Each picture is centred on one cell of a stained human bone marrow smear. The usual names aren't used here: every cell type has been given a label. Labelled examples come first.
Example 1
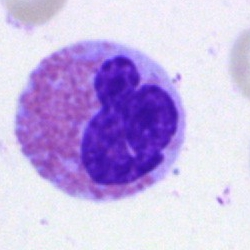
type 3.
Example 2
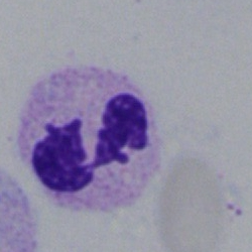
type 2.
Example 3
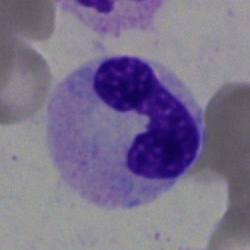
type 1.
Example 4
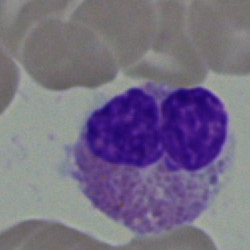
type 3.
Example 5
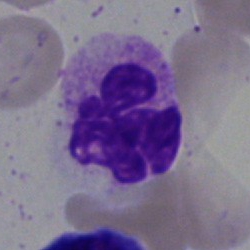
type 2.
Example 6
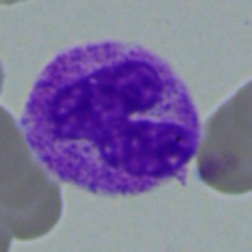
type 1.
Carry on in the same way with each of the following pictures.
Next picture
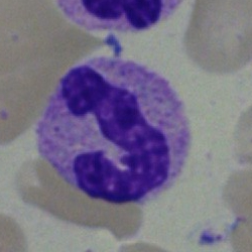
type 1.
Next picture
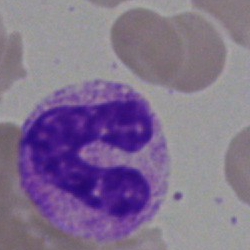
type 1.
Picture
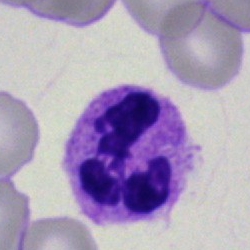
type 2.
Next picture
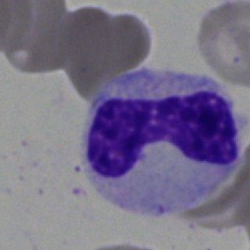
type 1.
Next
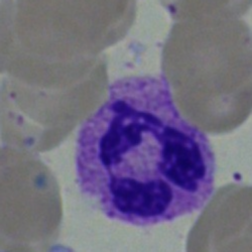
type 2.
